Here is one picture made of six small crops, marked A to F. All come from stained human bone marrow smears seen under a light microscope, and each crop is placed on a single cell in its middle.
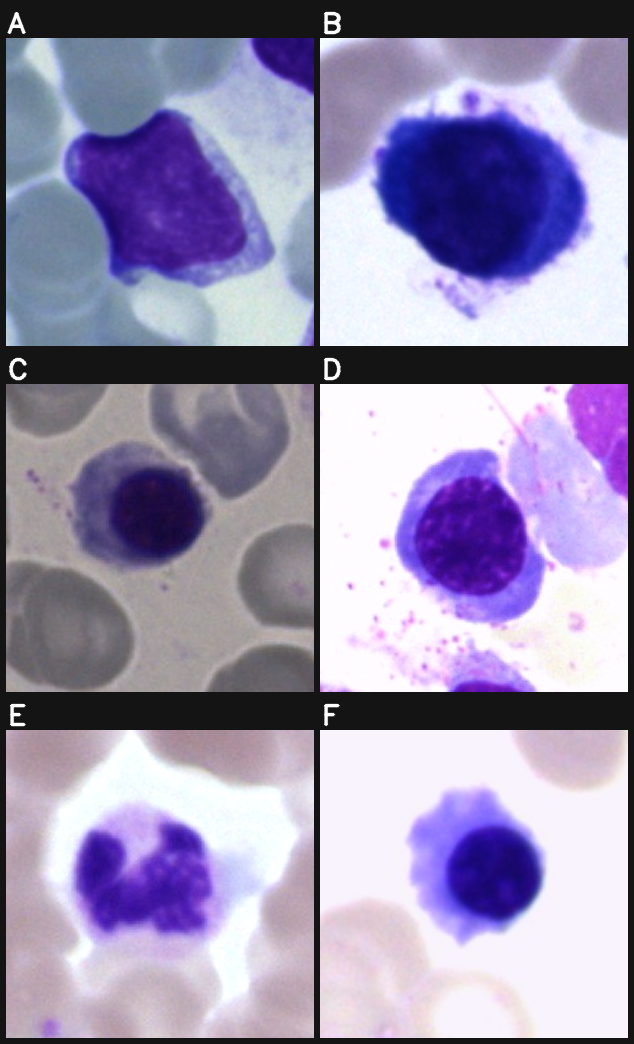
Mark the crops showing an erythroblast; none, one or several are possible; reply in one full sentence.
Crops C, D and F depict erythroblasts in the middle.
